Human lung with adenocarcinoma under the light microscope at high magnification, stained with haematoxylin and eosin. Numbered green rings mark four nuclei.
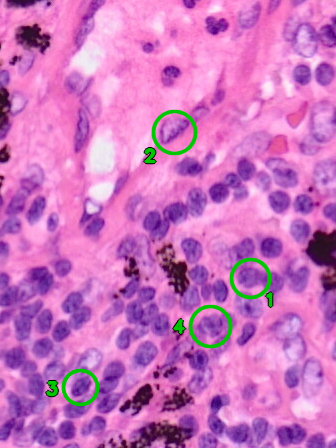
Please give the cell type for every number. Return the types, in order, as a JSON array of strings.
["lymphocyte", "endothelial cell", "lymphocyte", "lymphocyte"]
